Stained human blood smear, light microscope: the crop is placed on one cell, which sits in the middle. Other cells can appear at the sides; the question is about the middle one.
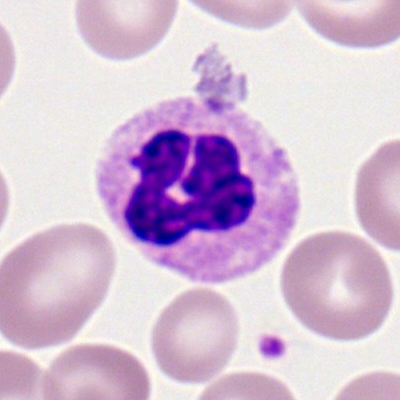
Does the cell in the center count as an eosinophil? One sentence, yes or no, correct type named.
No, the central cell is not an eosinophil, being instead a segmented neutrophil.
